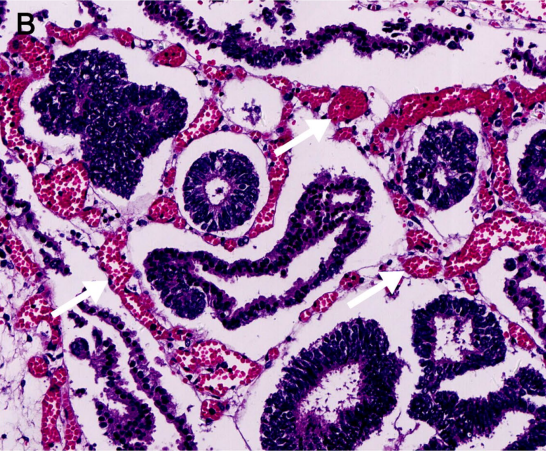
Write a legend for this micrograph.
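This section of a tumor is made of densely packed, small cells with dark purple nuclei. The cells are arranged in solid nests, ribbons and ring-like structures, many of which surround a small central lumen. The nuclei are crowded and stacked in several layers, and the cytoplasm is scant. The tumor cell groups lie in a loose, pale stroma. That stroma is traversed by many thin-walled vessels filled with bright red blood cells.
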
